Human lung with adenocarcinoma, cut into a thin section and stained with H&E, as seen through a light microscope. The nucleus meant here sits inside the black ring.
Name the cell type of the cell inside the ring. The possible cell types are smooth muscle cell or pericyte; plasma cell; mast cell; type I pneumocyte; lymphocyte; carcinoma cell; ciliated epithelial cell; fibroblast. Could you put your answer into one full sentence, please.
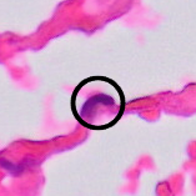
In the tissue under study, the cell inside the ring is a type I pneumocyte.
